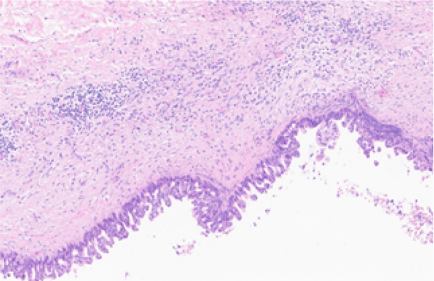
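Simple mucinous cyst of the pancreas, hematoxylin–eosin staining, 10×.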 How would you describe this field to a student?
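The epithelial nuclei are crowded, dark and stratified, reaching up from the base toward the luminal surface. The underlying stroma is pale pink fibrous tissue with clusters of small dark inflammatory cells, without a cellular ovarian-like stroma.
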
